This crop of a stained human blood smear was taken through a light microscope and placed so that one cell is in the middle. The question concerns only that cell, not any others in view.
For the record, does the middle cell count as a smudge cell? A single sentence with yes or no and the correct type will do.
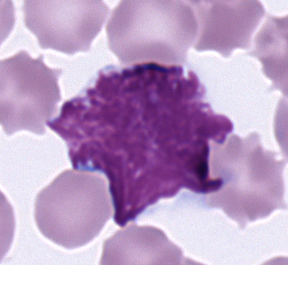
Yes, the middle cell of the field is a smudge cell.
